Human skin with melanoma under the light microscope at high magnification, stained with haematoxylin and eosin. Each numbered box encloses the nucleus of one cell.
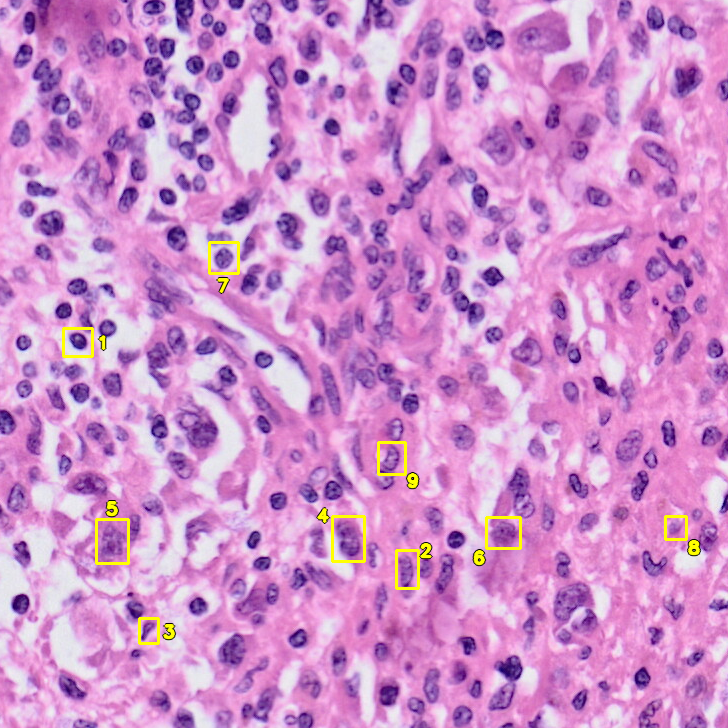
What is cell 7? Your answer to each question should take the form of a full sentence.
The marked nucleus 7 is that of a lymphocyte.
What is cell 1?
The cell to which the number 1 is assigned is a lymphocyte.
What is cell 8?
Identified by the number 8, the cell is a macrophage or monocyte.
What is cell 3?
Cell number 3 in this section is a fibroblast or myofibroblast.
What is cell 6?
In this section, the cell tagged 6 is a melanoma cell.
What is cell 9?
Within this field of view, the cell labelled 9 is an endothelial cell.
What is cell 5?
The cell indicated with the number 5 is classed as a melanoma cell.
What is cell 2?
The cell referred to as 2 is a macrophage or monocyte.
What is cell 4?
The cell whose nucleus carries the number 4 is a melanoma cell.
